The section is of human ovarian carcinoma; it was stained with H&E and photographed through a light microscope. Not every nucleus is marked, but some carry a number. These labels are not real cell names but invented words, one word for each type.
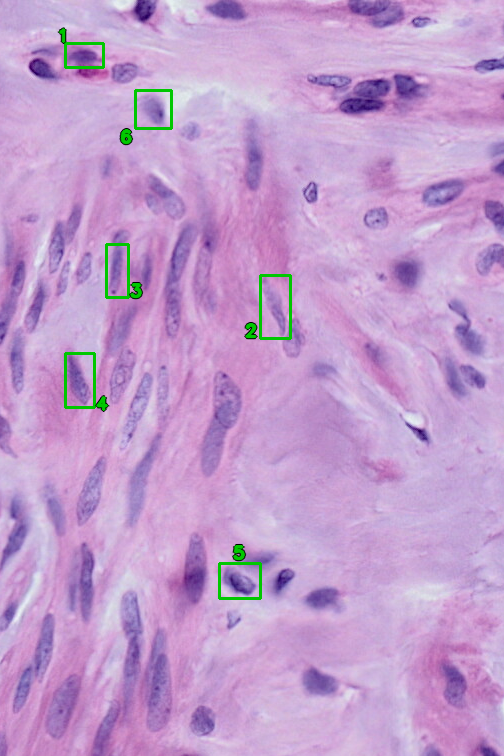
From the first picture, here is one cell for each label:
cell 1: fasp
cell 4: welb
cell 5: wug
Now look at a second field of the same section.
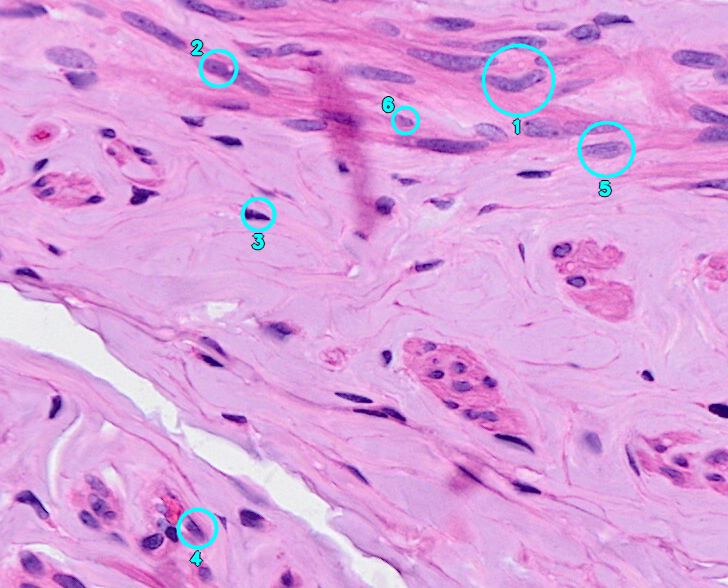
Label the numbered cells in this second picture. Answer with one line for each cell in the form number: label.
1: welb
2: welb
3: wug
4: fasp
5: welb
6: welb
